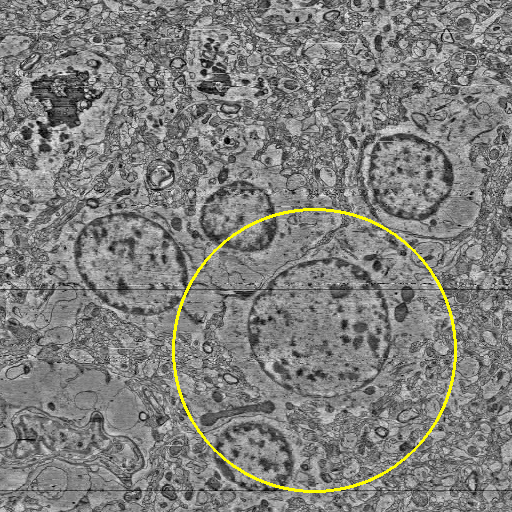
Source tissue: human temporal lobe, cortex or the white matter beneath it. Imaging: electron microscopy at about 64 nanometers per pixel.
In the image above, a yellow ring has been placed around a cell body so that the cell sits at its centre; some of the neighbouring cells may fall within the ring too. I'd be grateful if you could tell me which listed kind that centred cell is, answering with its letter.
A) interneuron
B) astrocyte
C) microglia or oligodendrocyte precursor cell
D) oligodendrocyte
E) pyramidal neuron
B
